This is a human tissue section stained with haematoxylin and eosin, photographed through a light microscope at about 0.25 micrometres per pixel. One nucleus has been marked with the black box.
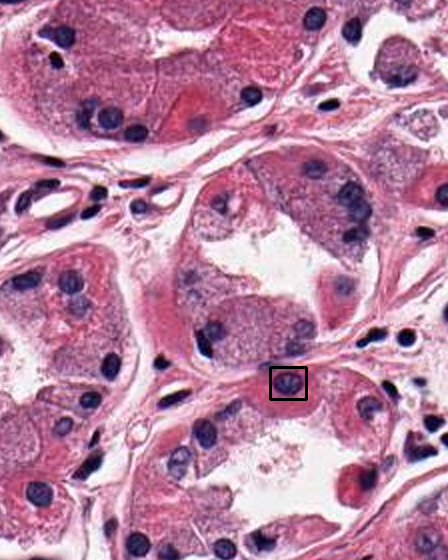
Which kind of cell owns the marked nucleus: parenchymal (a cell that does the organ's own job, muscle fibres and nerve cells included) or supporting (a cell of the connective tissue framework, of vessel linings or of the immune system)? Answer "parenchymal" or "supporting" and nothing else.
parenchymal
